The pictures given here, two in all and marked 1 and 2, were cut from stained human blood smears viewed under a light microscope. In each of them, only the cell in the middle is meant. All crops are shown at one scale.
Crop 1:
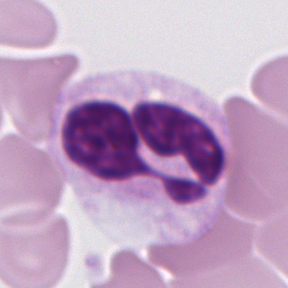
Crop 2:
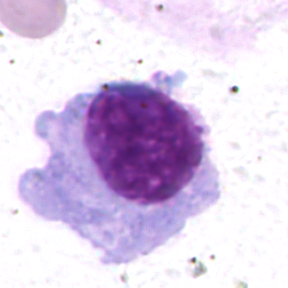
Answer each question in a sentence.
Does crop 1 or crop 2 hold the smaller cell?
Smaller is the cell in crop 1, and the other is about 1.5 times as large in area.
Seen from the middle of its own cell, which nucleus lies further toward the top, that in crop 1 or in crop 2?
The nucleus in crop 2 lies further toward the top of its cell.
